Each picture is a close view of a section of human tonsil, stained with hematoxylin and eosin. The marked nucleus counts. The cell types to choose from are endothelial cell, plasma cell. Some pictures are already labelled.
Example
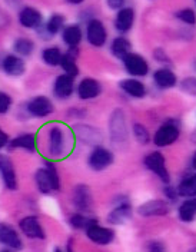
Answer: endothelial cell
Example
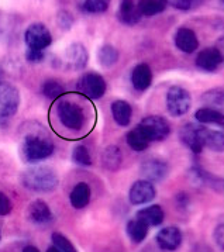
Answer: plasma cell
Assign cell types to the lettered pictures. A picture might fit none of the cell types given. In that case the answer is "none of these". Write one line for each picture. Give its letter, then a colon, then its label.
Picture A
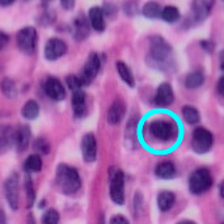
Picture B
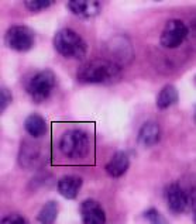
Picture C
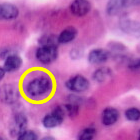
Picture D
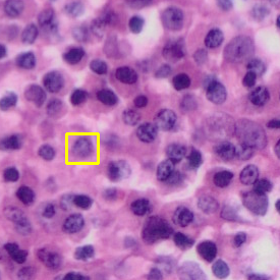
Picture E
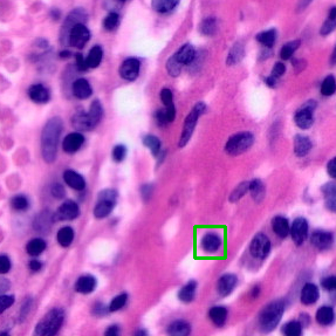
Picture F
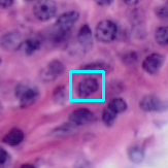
A: plasma cell
B: plasma cell
C: plasma cell
D: plasma cell
E: none of these
F: plasma cell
